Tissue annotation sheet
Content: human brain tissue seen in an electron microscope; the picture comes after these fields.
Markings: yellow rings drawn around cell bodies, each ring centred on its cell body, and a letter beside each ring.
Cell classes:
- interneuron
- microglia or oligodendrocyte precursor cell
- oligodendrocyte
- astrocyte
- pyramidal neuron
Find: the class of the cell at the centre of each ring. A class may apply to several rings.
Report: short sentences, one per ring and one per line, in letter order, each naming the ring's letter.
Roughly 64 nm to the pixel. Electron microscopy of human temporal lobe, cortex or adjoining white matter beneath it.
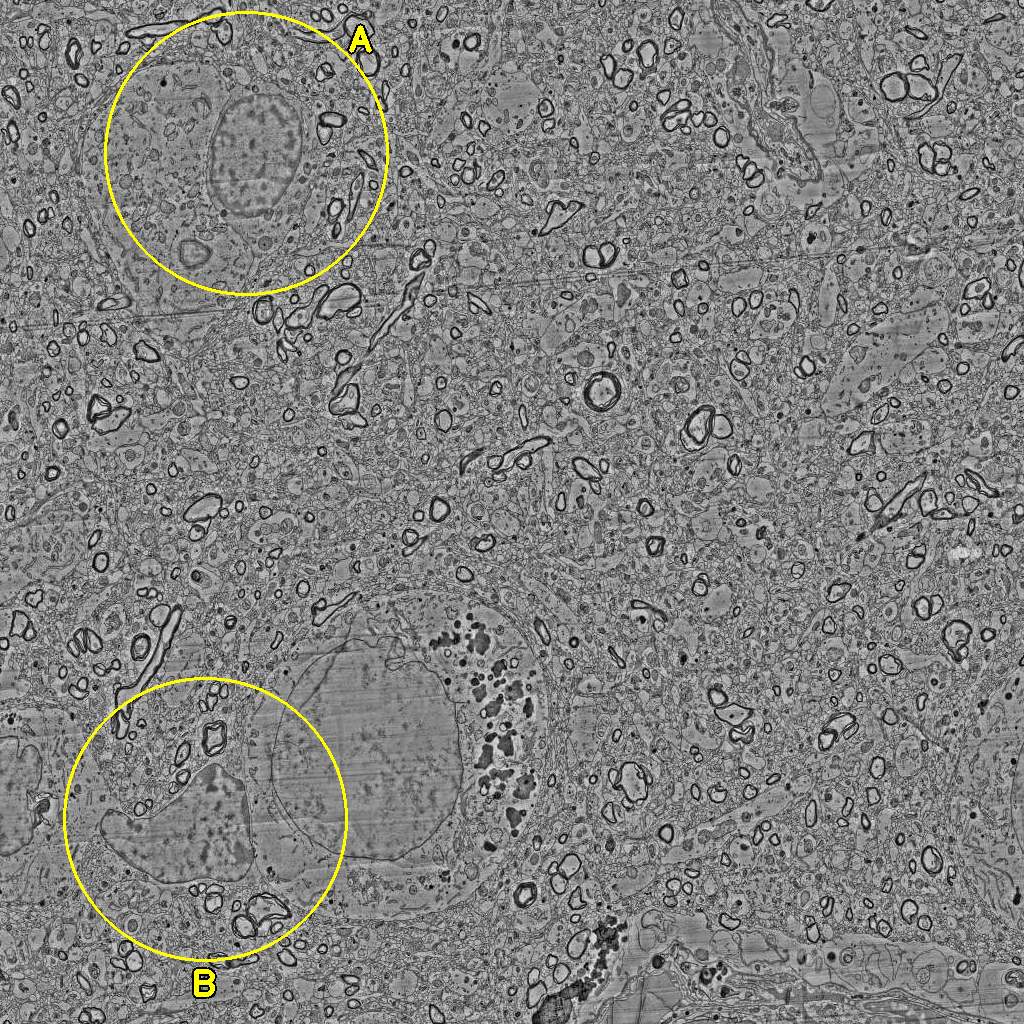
Ring A holds an oligodendrocyte at its centre.
Ring B holds a microglial cell or oligodendrocyte precursor cell at its centre.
